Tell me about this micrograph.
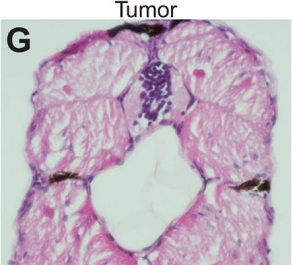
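This is a cross-section through the trunk of a fish larva, stained with pink and purple dyes. Pink fibrillar skeletal muscle makes up both flanks and is split into dorsal and ventral blocks. The centre is taken up by the large pale notochord, with its clear, vacuole-like interior. Above it is the spinal cord, a tight group of small dark purple nuclei.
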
